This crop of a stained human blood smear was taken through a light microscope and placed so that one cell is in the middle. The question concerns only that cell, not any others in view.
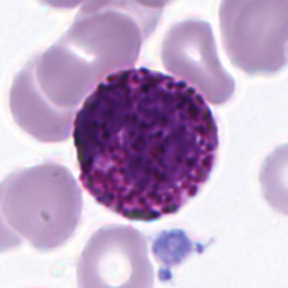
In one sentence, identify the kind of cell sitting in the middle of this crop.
The cell of interest, in the center, is a basophil.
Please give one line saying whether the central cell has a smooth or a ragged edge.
From every side, the cell boundary is smooth and free of projections.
